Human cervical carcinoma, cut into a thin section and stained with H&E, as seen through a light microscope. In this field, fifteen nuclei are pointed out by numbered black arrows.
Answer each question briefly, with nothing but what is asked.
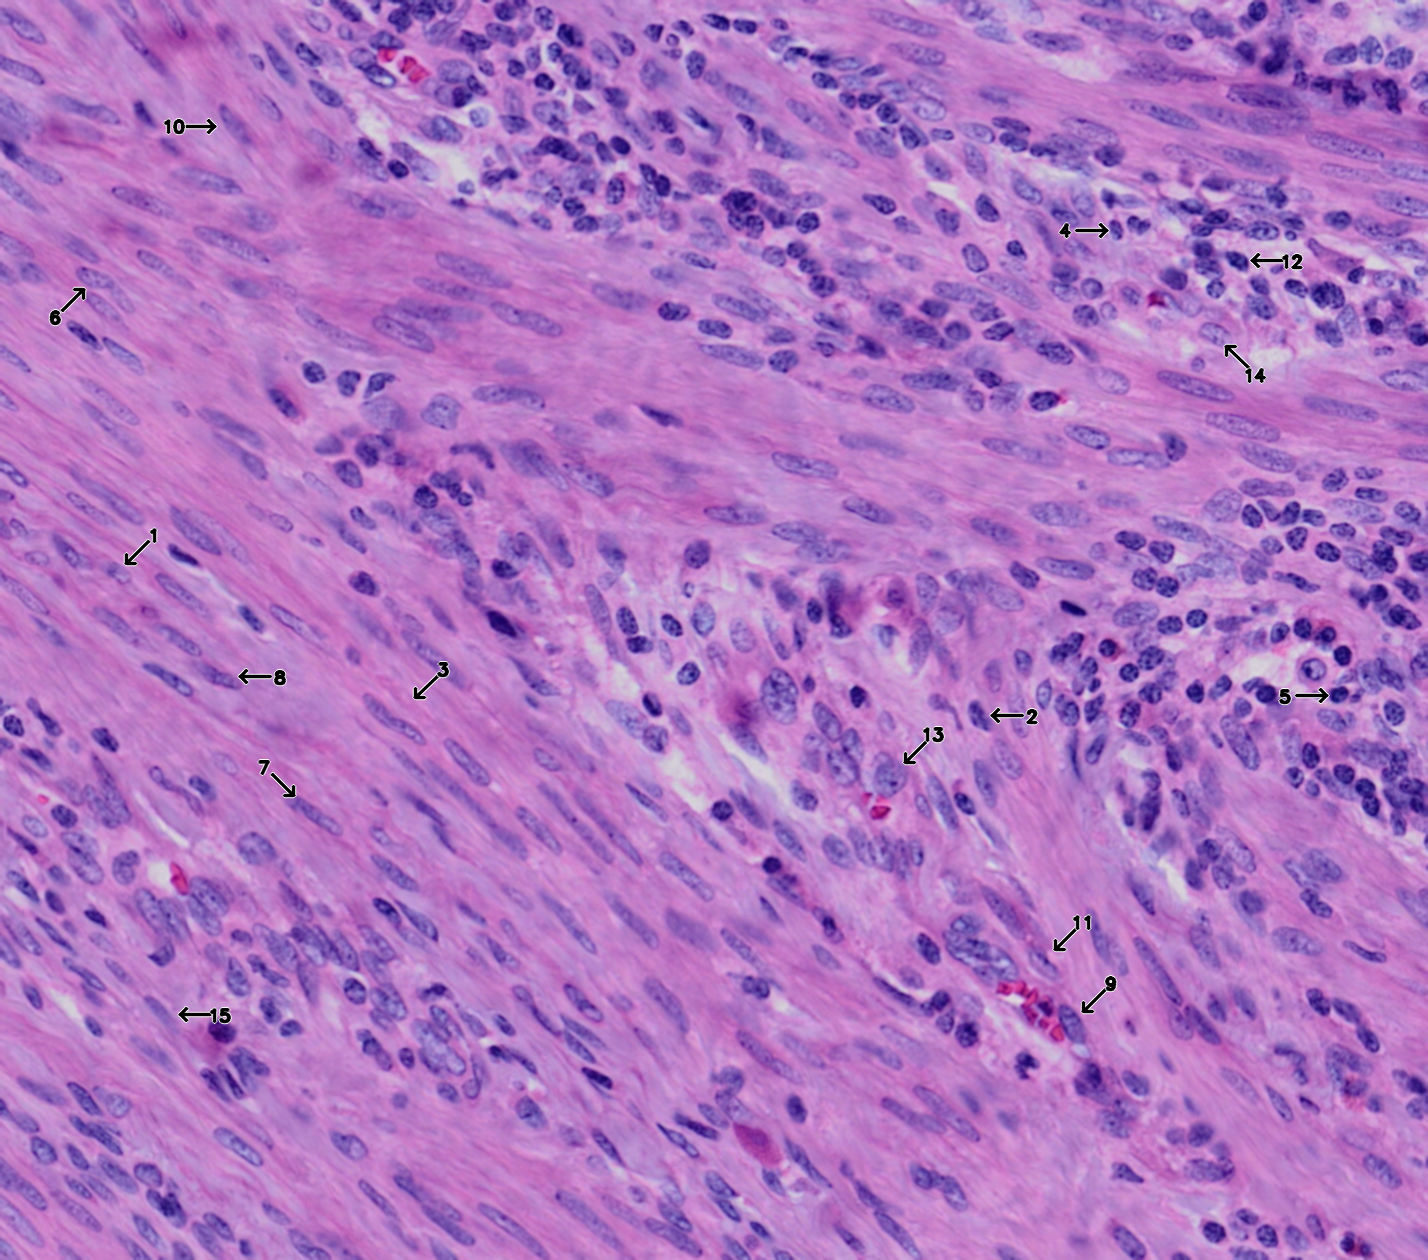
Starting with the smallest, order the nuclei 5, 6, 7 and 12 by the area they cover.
5, 12, 6, 7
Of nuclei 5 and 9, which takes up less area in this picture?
5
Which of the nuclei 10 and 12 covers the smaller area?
12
